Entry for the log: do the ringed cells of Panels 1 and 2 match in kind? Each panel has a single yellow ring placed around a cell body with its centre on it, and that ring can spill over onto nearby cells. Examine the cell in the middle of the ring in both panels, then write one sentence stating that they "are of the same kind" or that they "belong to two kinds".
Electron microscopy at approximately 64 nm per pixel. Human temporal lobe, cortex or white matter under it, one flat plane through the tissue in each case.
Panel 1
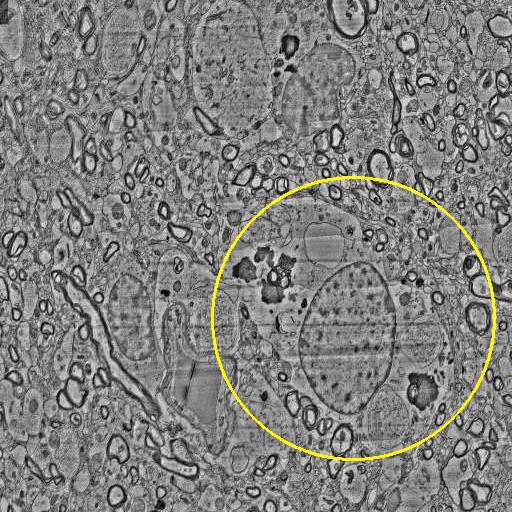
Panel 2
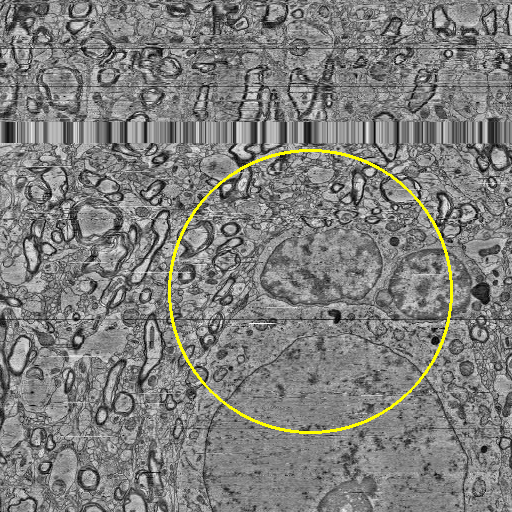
The centre cell of Panel 1's ring and that of Panel 2's ring belong to two kinds.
